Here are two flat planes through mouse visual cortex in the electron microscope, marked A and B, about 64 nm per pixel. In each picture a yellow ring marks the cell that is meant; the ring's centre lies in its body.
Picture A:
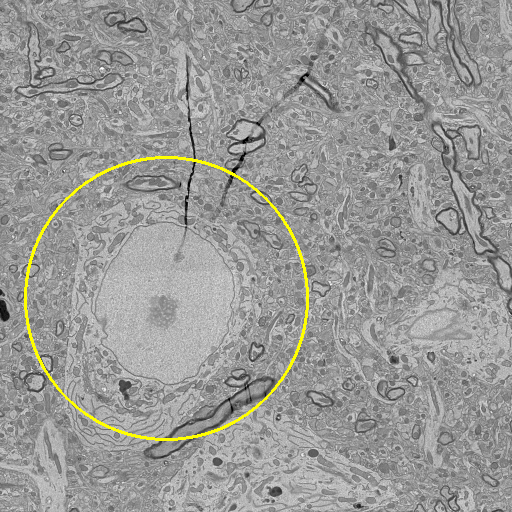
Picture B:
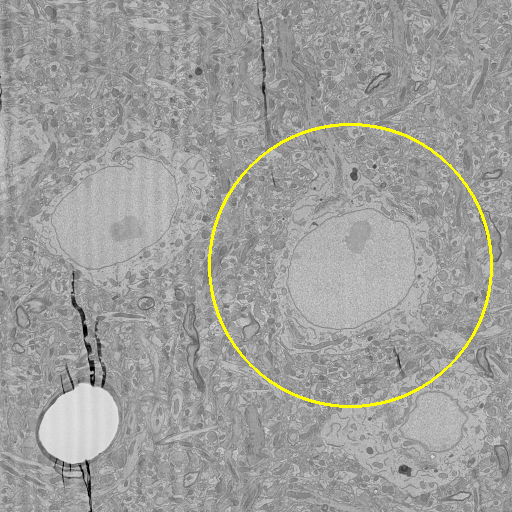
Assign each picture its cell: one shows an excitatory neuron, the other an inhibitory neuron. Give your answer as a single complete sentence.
In picture A the cell is an inhibitory neuron; in picture B, an excitatory neuron.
